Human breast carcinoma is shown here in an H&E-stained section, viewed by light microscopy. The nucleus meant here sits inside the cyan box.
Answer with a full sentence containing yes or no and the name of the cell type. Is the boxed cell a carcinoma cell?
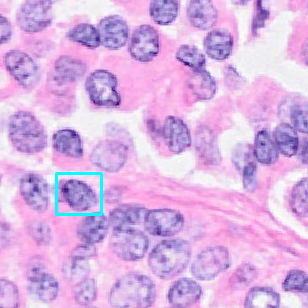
Yes, as far as cell type goes, the boxed cell is a carcinoma cell.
